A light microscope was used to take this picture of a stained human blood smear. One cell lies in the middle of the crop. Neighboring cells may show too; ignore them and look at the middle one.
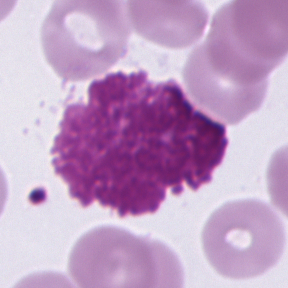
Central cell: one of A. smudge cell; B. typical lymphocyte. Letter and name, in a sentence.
Since the cell in the middle is a smudge cell, option A is correct.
